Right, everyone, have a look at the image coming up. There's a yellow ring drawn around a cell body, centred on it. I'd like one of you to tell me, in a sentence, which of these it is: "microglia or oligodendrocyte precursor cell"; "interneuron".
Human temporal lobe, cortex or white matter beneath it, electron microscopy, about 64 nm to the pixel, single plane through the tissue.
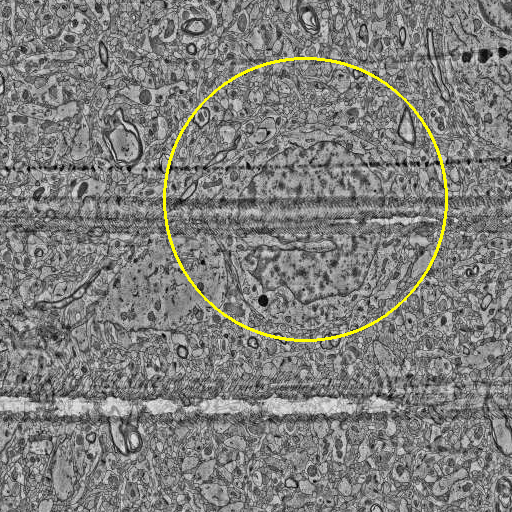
The yellow ring sits on an interneuron.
